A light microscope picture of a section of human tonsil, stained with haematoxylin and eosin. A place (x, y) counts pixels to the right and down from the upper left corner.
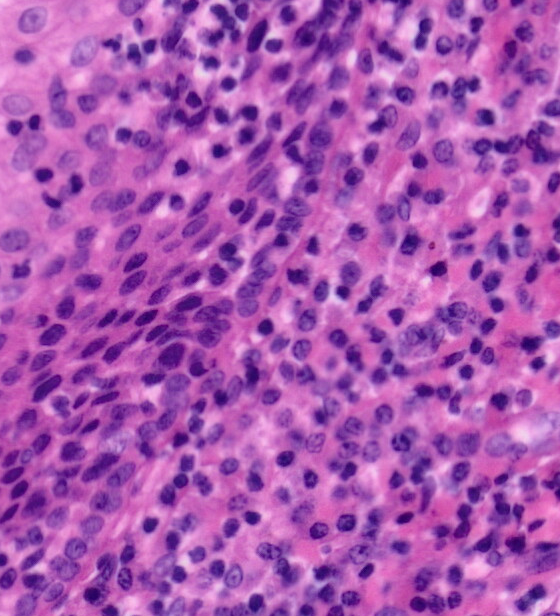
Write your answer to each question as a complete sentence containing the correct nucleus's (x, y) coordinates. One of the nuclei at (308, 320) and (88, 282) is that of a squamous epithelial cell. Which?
The member of the pair belonging to a squamous epithelial cell is the nucleus at (88, 282).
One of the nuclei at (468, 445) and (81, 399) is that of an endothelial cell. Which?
Of the two nuclei, it is the one at (468, 445) that lies within an endothelial cell.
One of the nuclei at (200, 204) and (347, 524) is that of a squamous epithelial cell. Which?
Housed in a squamous epithelial cell is the nucleus at (200, 204), not the other one.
